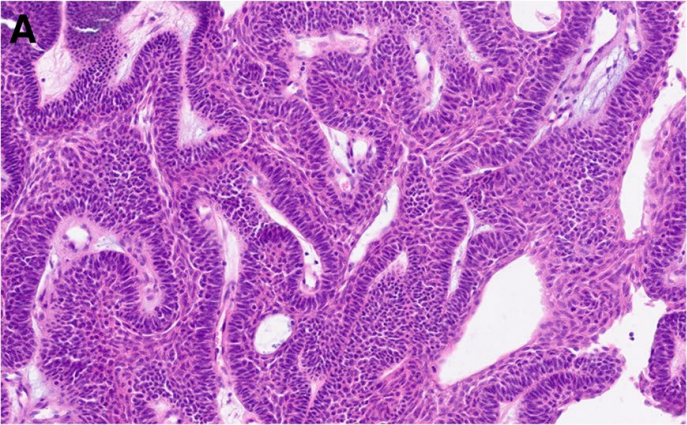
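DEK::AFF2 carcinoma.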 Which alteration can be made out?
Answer: Nuclear palisading.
